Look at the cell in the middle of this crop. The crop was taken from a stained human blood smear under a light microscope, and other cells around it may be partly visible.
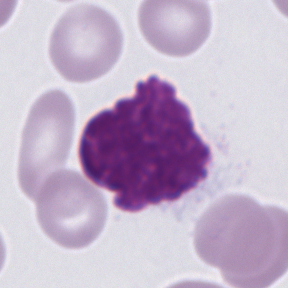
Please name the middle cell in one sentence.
The cell of interest, in the center, is a smudge cell.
